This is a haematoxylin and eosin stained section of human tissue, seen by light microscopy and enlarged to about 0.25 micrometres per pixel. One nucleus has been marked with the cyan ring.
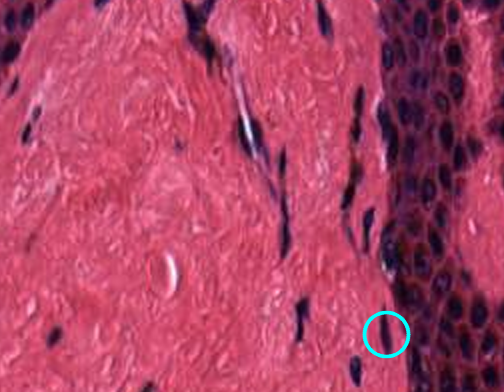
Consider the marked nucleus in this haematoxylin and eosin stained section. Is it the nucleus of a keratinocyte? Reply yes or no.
no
